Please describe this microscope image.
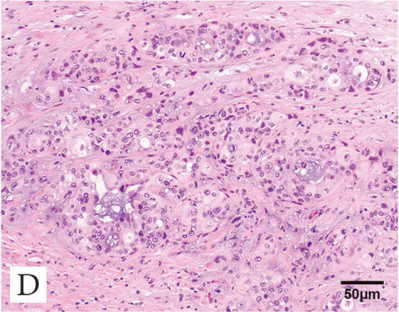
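Nests and glandular clusters of tumor cells lie within pink fibrous stroma. The tumor cells are large, with abundant pale eosinophilic cytoplasm and enlarged round to oval nuclei, some forming small lumens; the surrounding stroma holds elongated spindle-shaped nuclei.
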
